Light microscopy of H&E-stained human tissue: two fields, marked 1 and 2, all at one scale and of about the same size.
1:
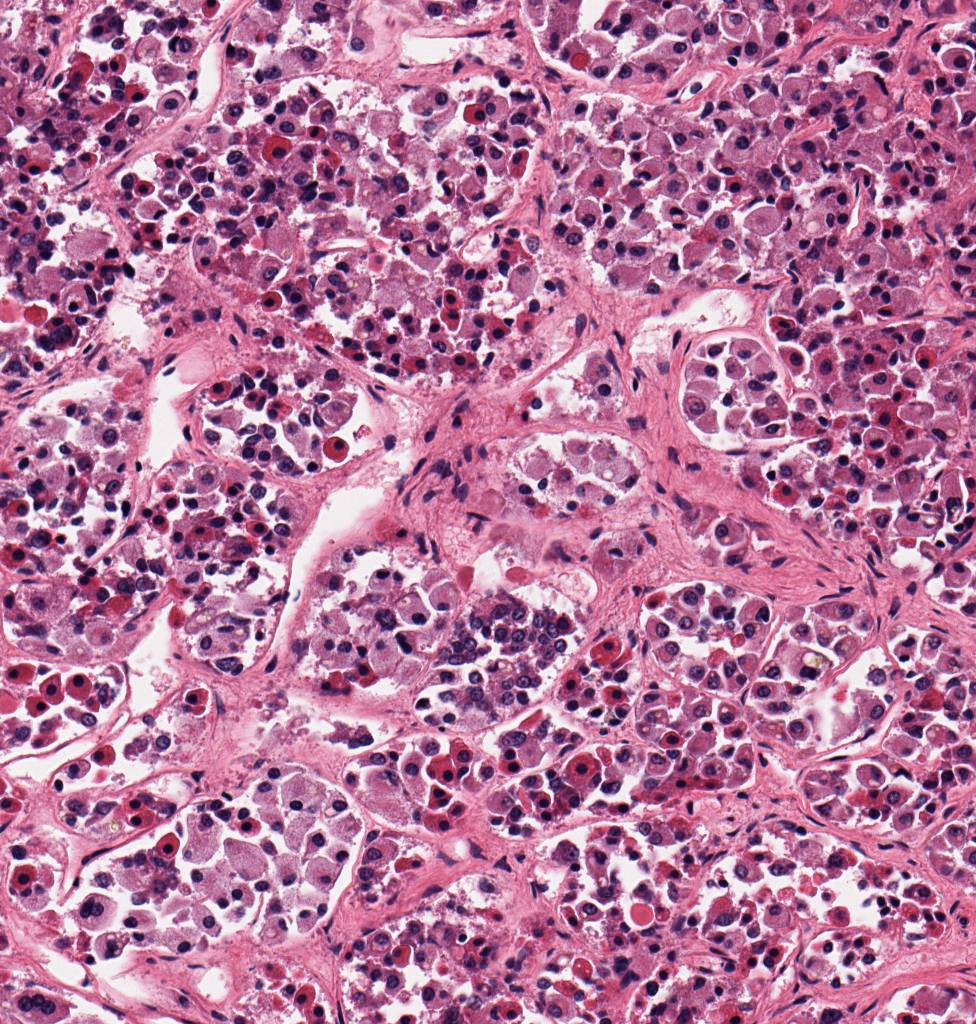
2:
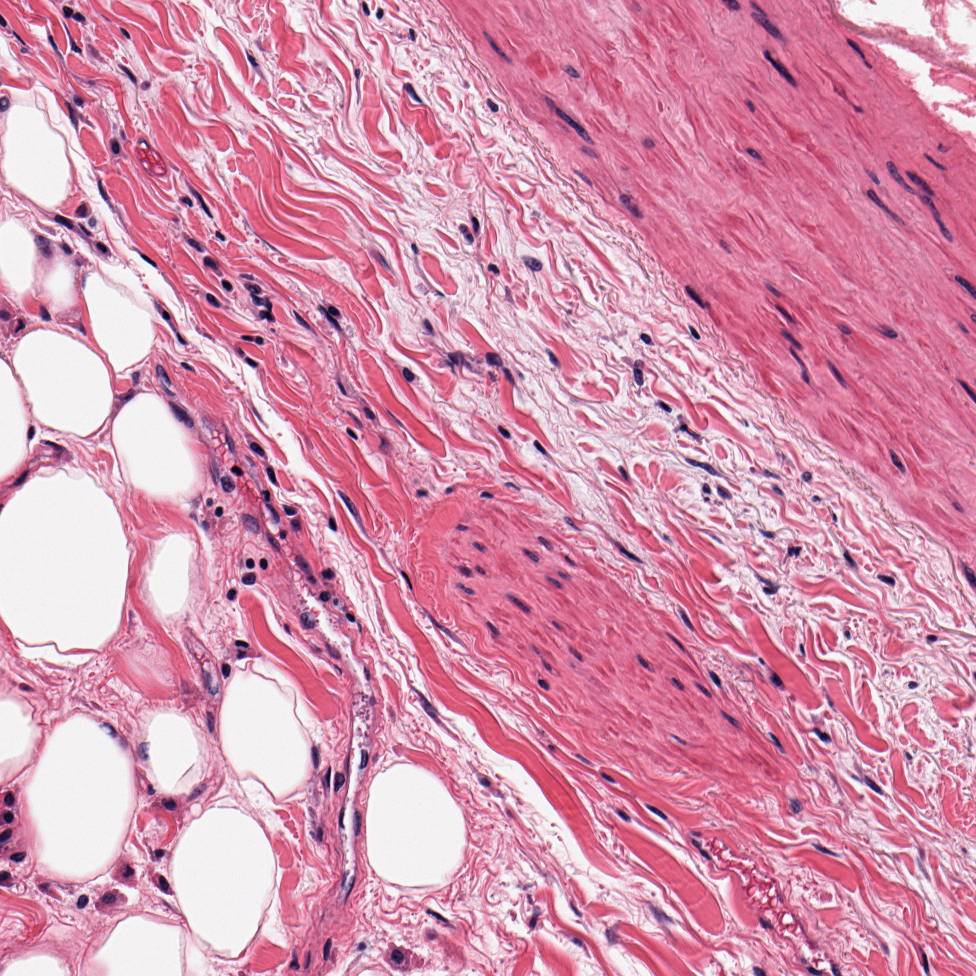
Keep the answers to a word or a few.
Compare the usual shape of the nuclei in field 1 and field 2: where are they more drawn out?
2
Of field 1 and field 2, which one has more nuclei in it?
1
